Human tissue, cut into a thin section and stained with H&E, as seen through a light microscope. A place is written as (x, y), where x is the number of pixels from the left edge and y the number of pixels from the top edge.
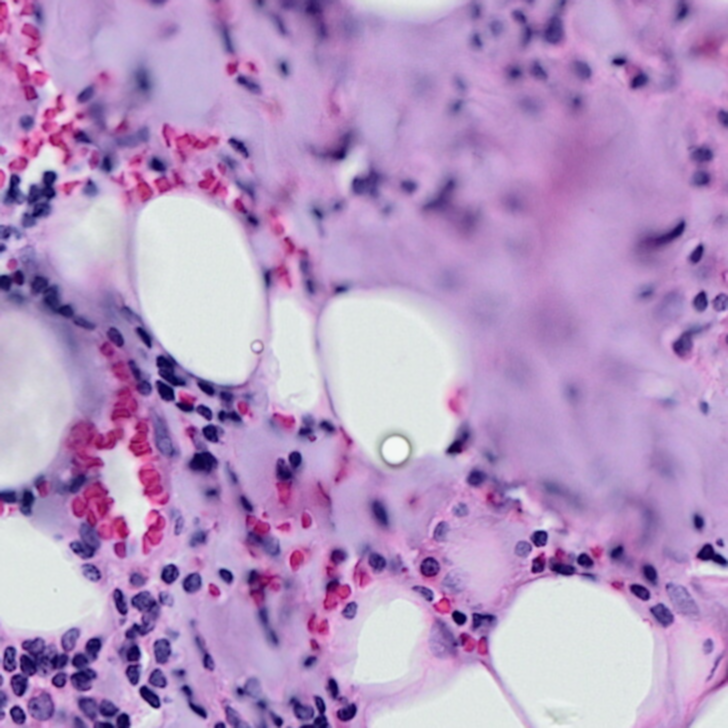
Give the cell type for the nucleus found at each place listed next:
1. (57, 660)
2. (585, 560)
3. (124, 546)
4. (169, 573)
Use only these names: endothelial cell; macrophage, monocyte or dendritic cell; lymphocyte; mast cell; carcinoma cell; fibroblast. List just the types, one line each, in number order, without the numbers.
lymphocyte
lymphocyte
endothelial cell
lymphocyte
